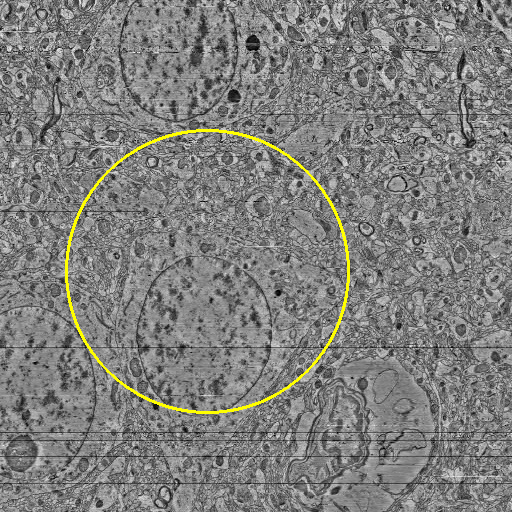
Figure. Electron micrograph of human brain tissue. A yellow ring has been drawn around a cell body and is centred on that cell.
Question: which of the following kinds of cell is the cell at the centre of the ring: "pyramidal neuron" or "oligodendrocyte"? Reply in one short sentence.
The cell at the centre of the ring is a pyramidal neuron.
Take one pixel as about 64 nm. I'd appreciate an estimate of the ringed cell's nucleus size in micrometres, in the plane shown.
In this plane, roughly 11 by 9 micrometres.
